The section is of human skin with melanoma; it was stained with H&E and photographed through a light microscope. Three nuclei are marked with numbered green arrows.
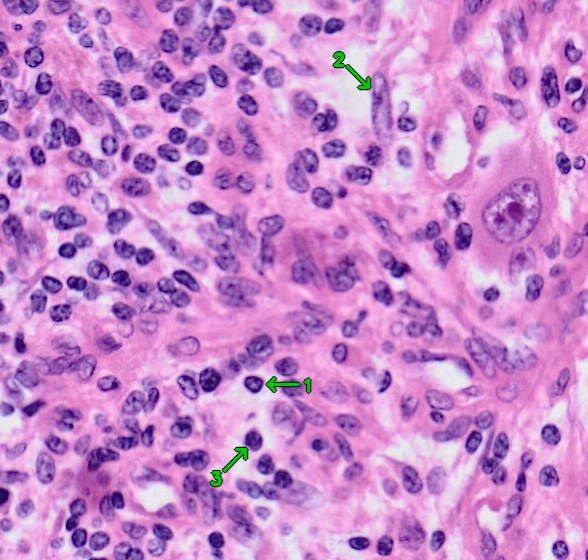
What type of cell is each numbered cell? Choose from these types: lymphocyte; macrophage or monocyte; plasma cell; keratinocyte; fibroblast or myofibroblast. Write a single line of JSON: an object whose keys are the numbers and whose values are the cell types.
{"1": "lymphocyte", "2": "fibroblast or myofibroblast", "3": "lymphocyte"}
